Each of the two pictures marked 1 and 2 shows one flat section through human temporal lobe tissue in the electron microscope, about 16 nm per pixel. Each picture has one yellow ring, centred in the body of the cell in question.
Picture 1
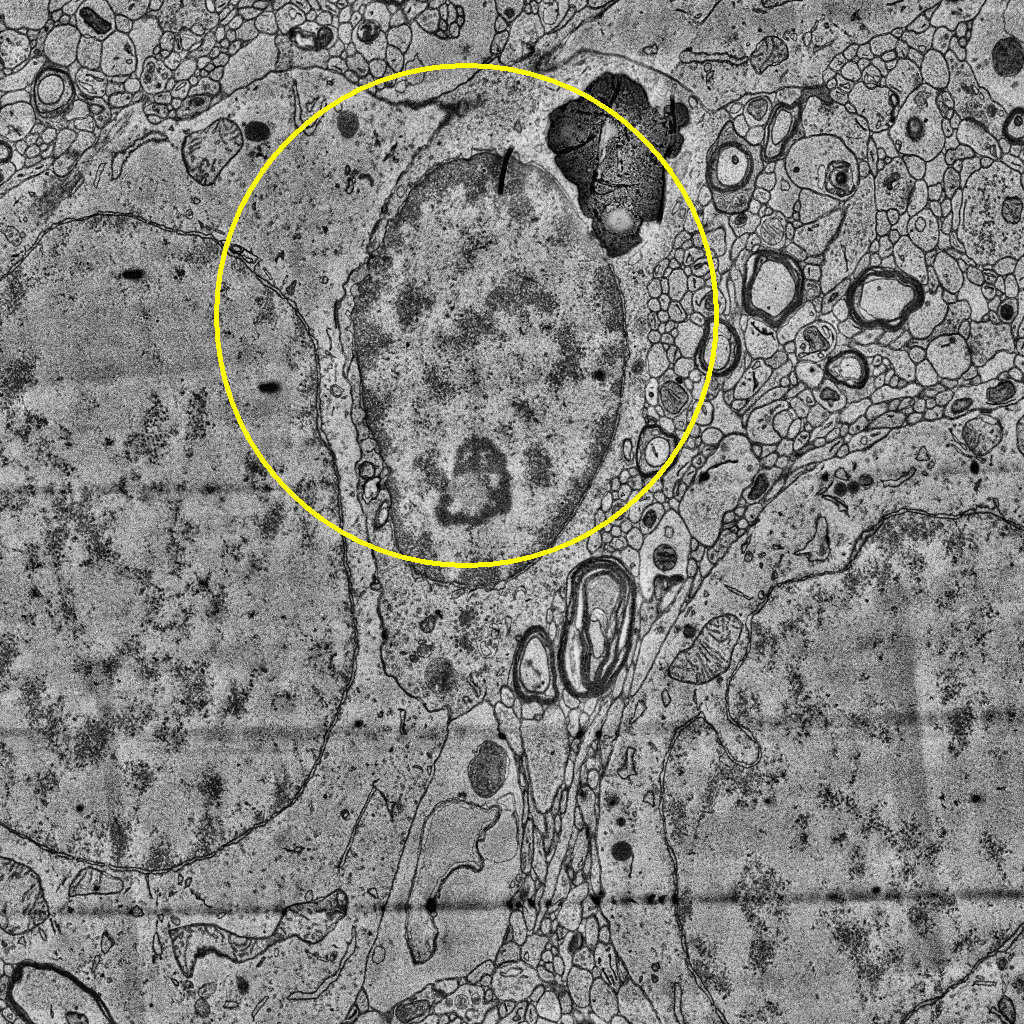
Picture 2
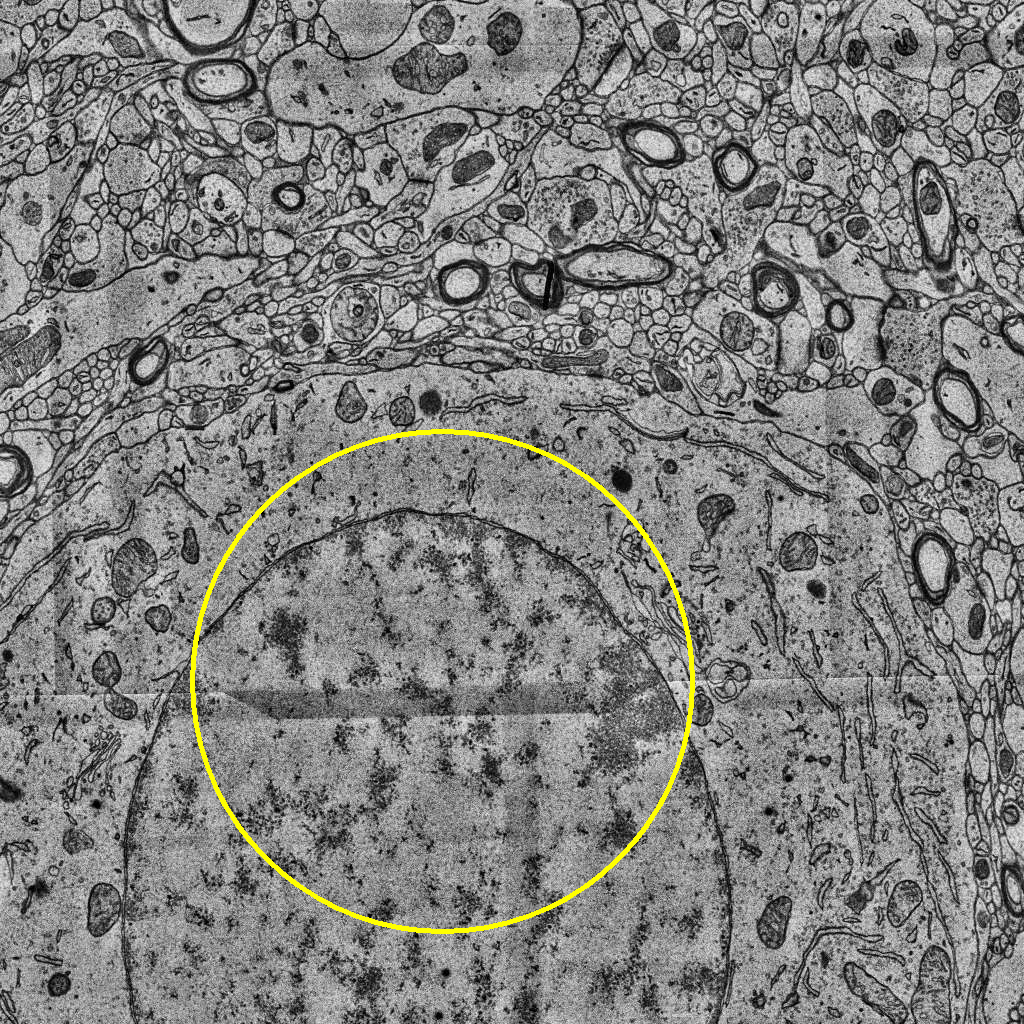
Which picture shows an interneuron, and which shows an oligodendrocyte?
Picture 1 shows an oligodendrocyte and picture 2 shows an interneuron.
